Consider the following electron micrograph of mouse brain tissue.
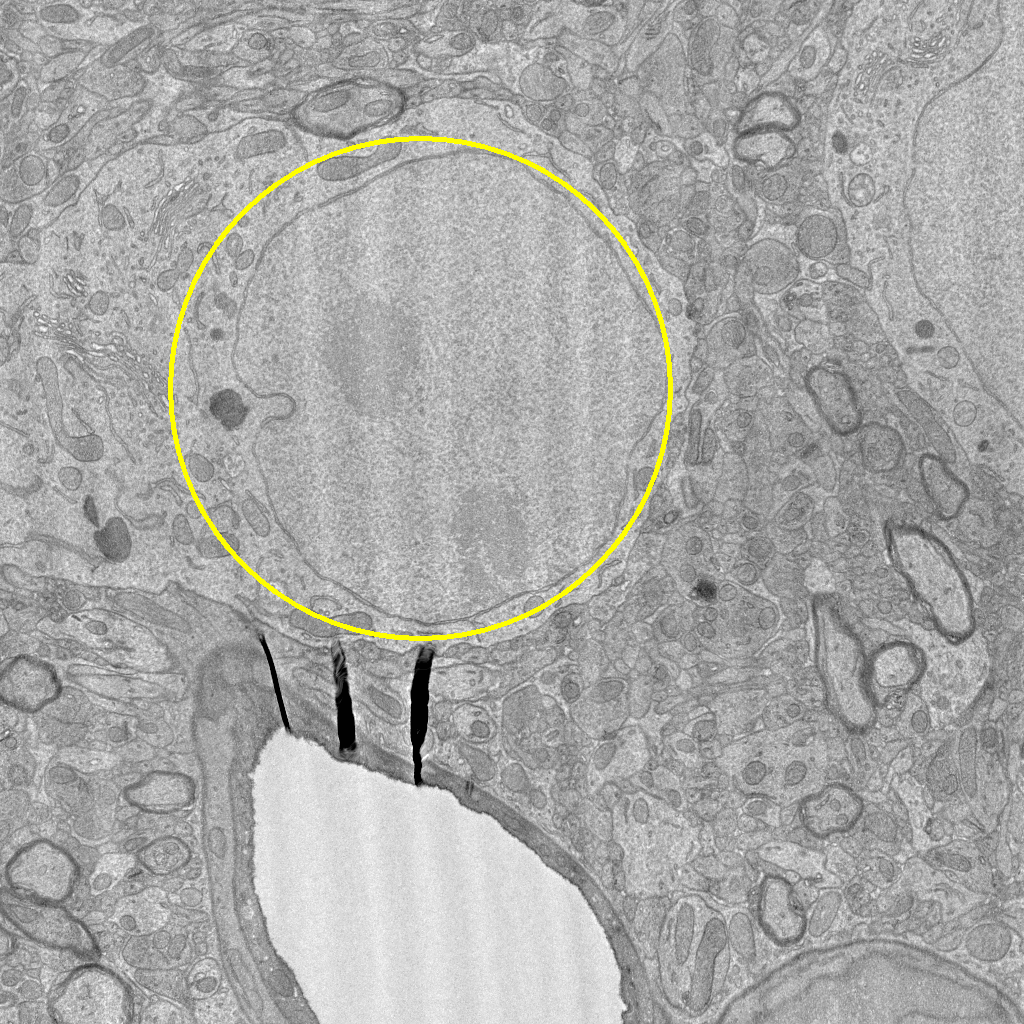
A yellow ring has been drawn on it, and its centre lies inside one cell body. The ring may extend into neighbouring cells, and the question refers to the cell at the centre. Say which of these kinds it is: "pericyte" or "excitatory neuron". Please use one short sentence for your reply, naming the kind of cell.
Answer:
The centre of the ring falls on an excitatory neuron.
